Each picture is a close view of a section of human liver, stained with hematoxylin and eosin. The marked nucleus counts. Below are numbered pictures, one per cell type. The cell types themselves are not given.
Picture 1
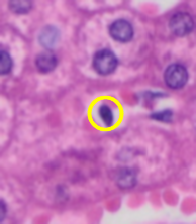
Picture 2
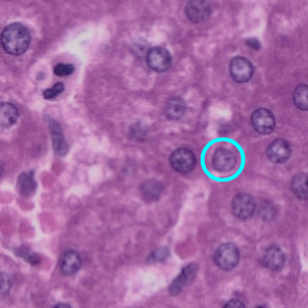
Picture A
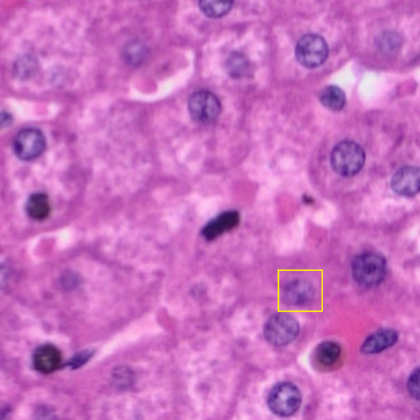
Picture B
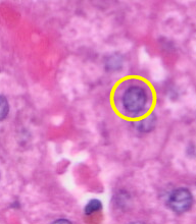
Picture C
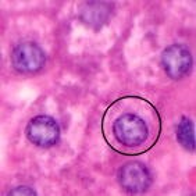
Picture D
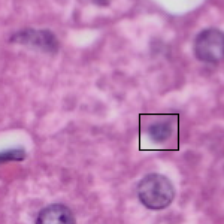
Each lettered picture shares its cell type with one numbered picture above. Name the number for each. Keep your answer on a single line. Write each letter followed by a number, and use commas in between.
A 2, B 2, C 2, D 1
